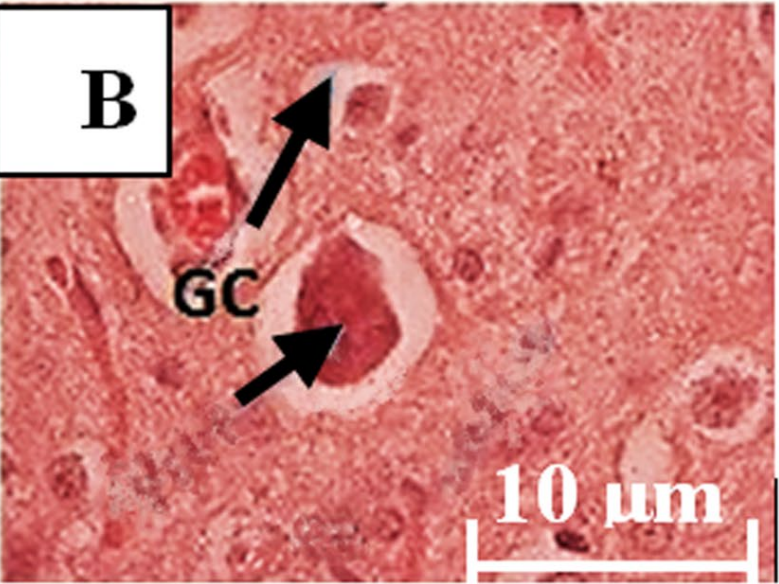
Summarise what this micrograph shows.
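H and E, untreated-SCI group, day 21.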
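This section of nervous tissue shows a large rounded neural cell sitting within a wide clear halo in a pink fibrillar background. Its cell body is stained a fairly even deep red, without the clumped dark material of a healthy cell body. Nearby, at the upper left, a space holds a cluster of red erythrocytes. Small cells with round nuclei, glial cells, lie close to the large cell within clear spaces. Other small round nuclei are scattered through the surrounding tissue.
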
